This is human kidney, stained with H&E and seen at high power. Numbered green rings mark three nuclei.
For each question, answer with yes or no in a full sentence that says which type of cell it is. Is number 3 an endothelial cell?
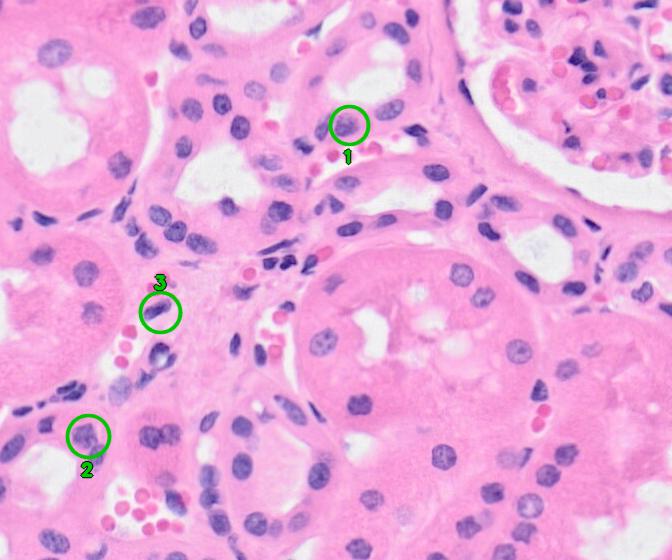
Yes, the cell that is numbered 3 is an endothelial cell.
